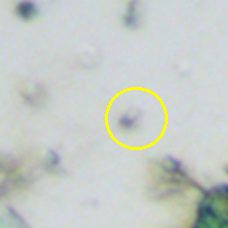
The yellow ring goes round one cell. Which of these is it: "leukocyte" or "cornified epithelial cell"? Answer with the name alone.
leukocyte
